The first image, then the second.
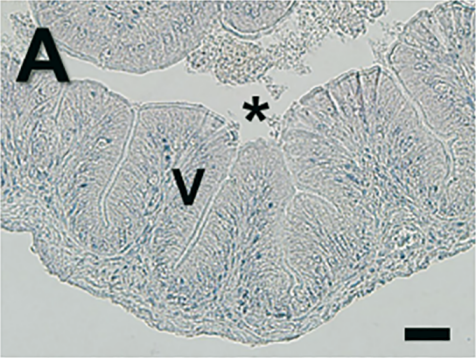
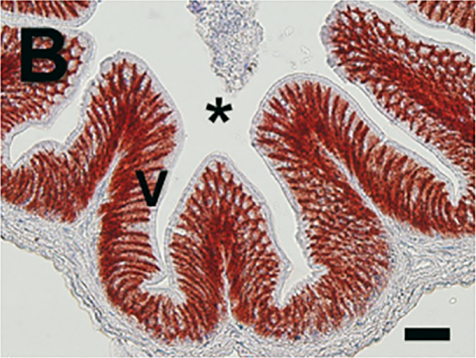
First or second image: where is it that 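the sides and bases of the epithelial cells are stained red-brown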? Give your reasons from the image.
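First image: epithelium is pale blue-grey with no red-brown stain. Second image: strong red-brown lines run between the columnar epithelial cells of every fold. So: the second image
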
